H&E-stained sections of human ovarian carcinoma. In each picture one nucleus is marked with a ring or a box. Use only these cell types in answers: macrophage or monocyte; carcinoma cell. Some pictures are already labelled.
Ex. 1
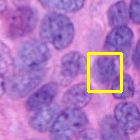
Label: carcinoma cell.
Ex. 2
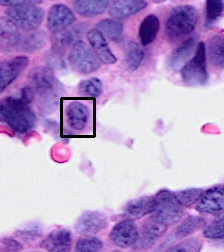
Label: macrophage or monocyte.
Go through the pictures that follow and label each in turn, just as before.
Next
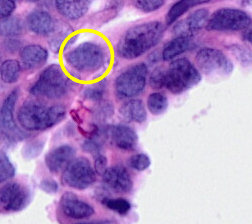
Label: carcinoma cell.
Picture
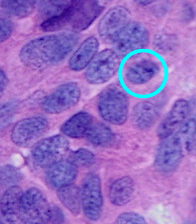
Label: macrophage or monocyte.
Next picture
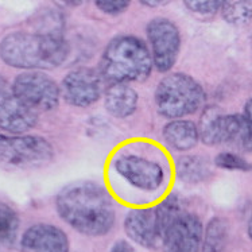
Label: macrophage or monocyte.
